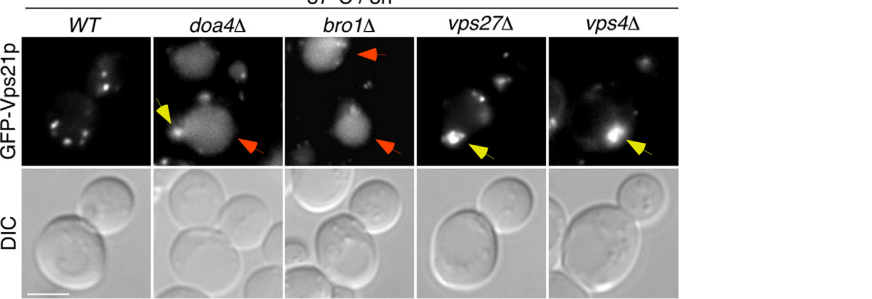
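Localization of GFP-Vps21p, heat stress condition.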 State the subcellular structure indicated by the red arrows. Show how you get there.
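Vacuolar lumen. The red arrows point to a large round area filled with diffuse even fluorescence inside the cell. The filled area occupies much of the cell interior.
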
